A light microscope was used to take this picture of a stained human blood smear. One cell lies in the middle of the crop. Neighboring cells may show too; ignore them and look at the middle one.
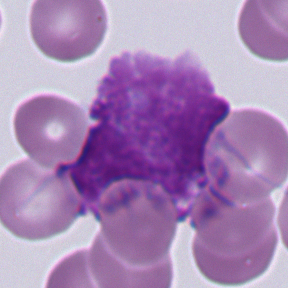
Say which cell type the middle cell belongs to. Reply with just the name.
smudge cell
